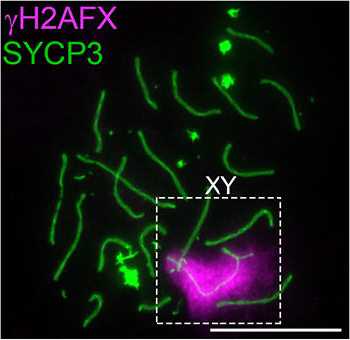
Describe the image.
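This is a spread of a pachytene spermatocyte nucleus, with chromosome axes shown as green threads. The green axes are long, continuous and mostly single lines, as expected of paired homologous chromosomes at pachynema. The other chromosome axes lie outside this cloud and carry little or no magenta. A few small bright green blobs lie apart from the axes.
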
